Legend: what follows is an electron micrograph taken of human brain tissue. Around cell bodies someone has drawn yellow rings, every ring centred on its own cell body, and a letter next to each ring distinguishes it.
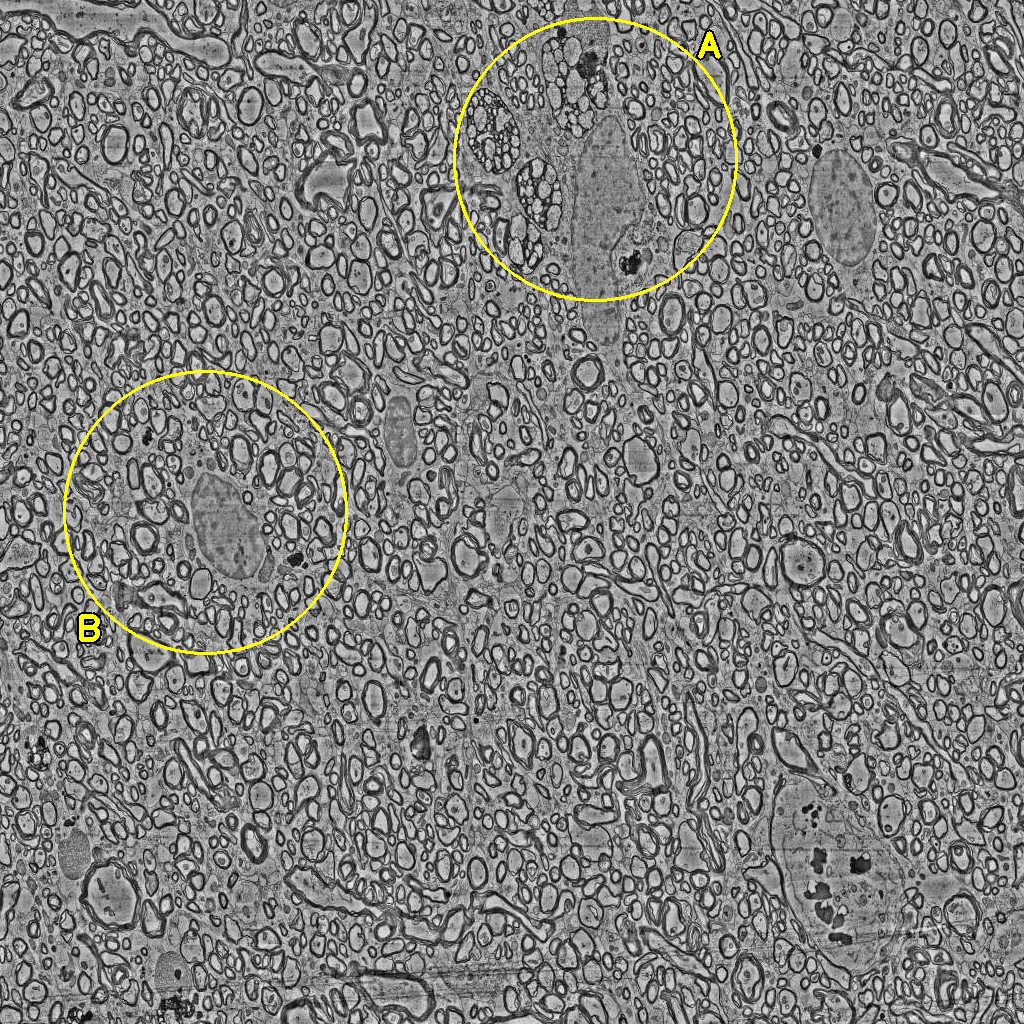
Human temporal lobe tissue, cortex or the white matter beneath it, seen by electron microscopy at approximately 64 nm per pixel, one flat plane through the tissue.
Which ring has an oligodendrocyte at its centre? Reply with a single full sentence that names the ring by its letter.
Ring B is the one centred on the cell asked for in the picture.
